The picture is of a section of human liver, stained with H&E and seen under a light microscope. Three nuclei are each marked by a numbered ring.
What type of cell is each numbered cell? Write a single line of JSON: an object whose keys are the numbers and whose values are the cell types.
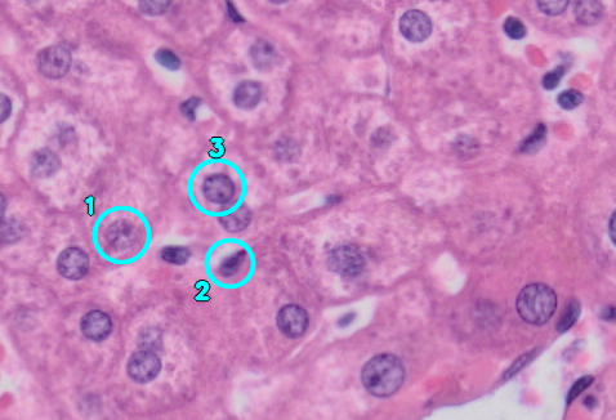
{"1": "hepatocyte", "2": "endothelial cell", "3": "hepatocyte"}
